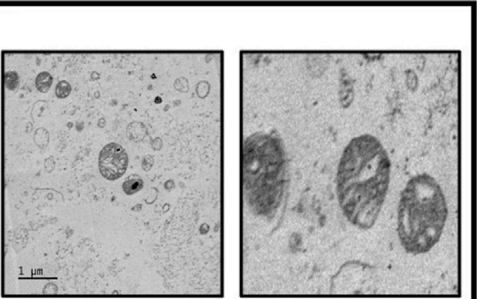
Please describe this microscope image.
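These are isolated mitochondria seen by transmission electron microscopy, lying free in a pale background rather than inside cells. At lower magnification on the left, scattered round to oval organelles are mixed with small empty vesicles and fine debris, and a few contain dark, dense inclusions. At higher magnification on the right, three oval mitochondria sit side by side, each bounded by a continuous membrane. Their interiors are filled with a grey matrix crossed by paler folded cristae.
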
